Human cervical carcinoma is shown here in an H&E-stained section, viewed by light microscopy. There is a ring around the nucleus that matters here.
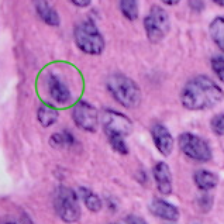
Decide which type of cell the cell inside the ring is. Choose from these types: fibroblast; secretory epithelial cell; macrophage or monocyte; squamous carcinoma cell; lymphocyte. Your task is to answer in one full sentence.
Recorded by type, the cell inside the ring is a squamous carcinoma cell.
